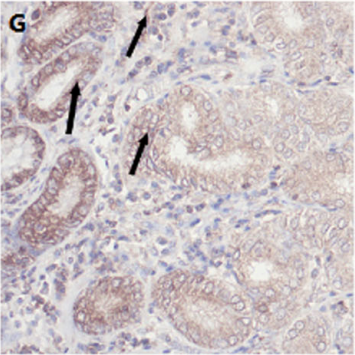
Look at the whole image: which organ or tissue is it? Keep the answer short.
Gastric mucosa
